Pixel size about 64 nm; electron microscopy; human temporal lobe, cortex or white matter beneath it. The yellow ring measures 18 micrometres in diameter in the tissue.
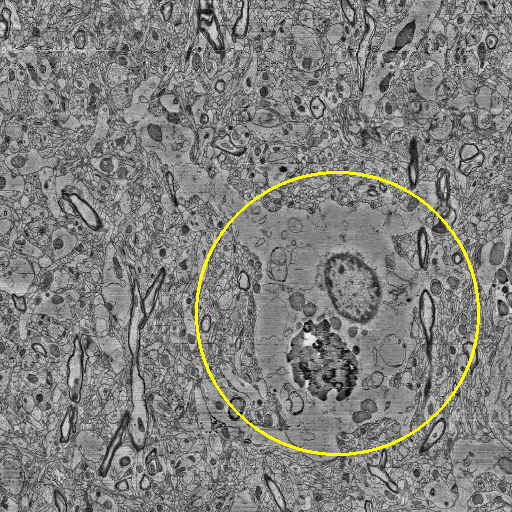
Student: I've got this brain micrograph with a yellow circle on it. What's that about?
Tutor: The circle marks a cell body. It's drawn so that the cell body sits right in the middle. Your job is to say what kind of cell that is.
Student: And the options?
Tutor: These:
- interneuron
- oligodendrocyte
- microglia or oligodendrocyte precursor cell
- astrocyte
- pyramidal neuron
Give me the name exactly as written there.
astrocyte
